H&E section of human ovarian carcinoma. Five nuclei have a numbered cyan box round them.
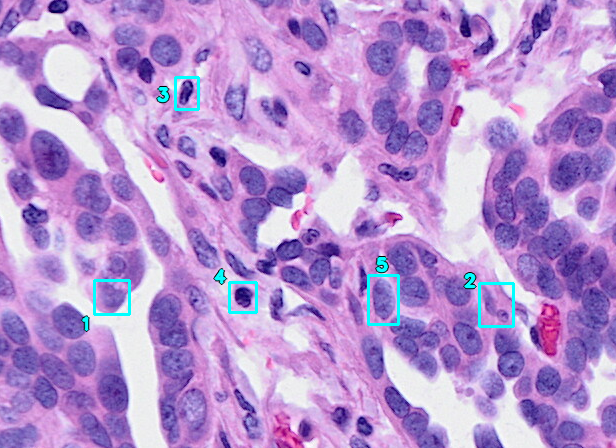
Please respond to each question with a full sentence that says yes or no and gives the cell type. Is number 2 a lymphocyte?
No, the cell numbered 2 is a macrophage or monocyte rather than a lymphocyte.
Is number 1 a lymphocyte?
No, the cell given the number 1 is a carcinoma cell, so not a lymphocyte.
